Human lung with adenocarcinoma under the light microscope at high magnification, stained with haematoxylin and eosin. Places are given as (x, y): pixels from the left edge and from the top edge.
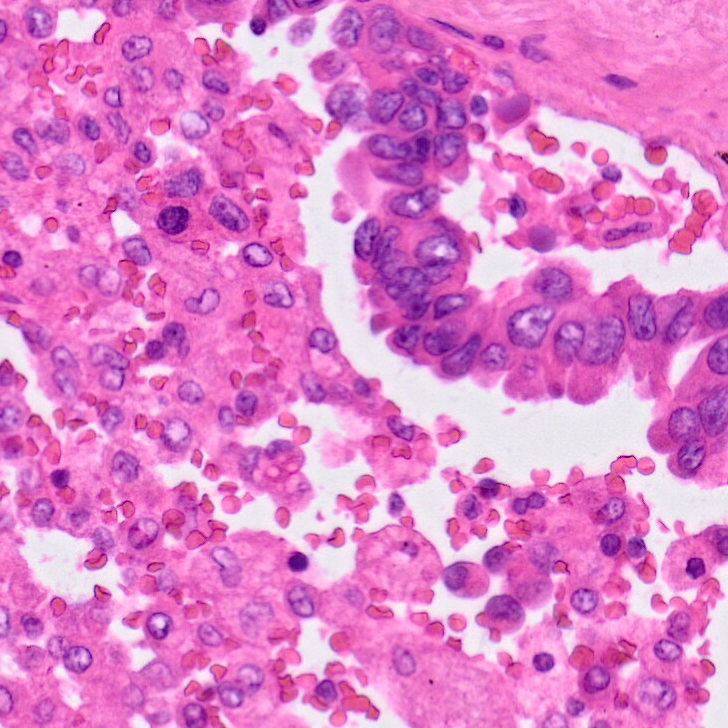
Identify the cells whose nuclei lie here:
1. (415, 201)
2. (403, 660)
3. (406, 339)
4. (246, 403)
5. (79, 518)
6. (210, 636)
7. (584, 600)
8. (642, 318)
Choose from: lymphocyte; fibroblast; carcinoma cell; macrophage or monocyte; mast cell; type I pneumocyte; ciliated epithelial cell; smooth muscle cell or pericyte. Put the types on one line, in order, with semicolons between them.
carcinoma cell; macrophage or monocyte; carcinoma cell; macrophage or monocyte; macrophage or monocyte; macrophage or monocyte; macrophage or monocyte; carcinoma cell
